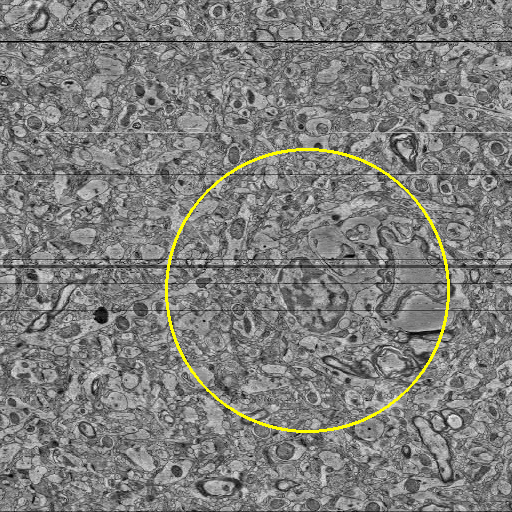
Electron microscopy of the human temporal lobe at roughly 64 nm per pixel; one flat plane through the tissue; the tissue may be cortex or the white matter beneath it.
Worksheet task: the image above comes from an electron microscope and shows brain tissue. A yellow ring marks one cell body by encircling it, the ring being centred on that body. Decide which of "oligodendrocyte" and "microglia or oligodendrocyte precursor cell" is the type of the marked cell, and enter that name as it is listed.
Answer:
microglia or oligodendrocyte precursor cell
